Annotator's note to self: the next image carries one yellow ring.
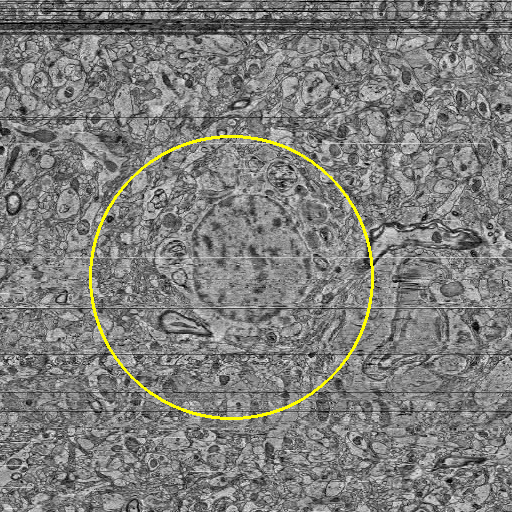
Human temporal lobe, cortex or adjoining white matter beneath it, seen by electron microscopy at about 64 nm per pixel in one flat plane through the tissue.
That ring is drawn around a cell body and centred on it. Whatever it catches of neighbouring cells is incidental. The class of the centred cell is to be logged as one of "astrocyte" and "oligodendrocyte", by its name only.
astrocyte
